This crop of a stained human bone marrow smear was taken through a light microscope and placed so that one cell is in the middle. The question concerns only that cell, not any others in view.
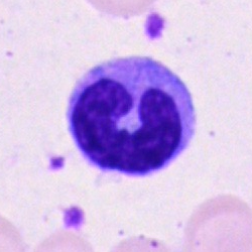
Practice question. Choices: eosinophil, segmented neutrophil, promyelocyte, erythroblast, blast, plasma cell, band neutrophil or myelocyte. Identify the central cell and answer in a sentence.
Located at the centre of the crop is a band neutrophil.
